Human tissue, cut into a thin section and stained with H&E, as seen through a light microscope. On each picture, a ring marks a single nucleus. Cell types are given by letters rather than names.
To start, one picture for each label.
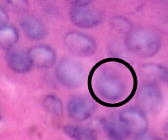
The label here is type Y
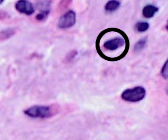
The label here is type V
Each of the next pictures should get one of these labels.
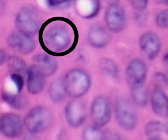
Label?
type Y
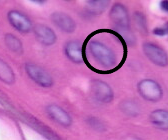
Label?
type Y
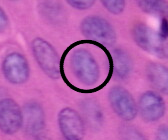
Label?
type Y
